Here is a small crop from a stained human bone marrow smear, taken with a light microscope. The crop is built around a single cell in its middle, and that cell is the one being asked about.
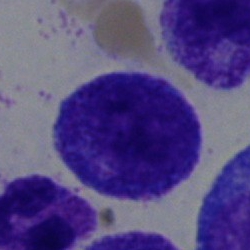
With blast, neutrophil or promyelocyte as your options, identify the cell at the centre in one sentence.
As for the cell in the middle, it is a promyelocyte.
